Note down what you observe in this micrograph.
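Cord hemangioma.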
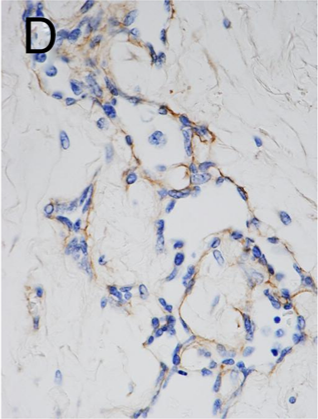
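Small, thin-walled vascular channels of the tumour are outlined by endothelial cells whose thin cytoplasm stains brown. Their nuclei are blue, elongated to oval and lie along the channel walls, while the surrounding loose stroma is largely unstained.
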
